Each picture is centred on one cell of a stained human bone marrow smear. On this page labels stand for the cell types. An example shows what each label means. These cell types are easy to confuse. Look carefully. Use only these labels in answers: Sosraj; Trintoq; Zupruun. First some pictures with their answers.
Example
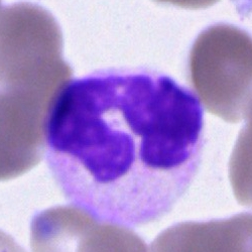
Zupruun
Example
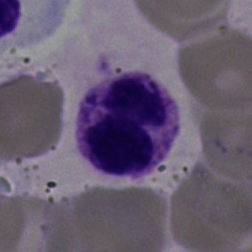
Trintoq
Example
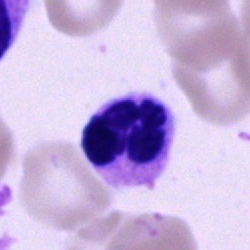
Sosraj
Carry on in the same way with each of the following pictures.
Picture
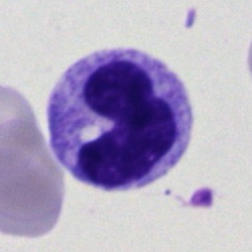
Zupruun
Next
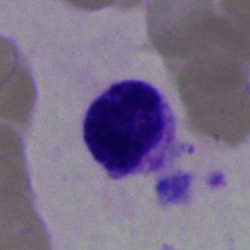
Trintoq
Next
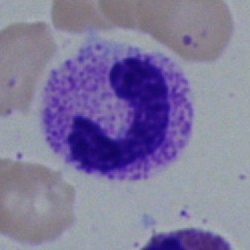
Zupruun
